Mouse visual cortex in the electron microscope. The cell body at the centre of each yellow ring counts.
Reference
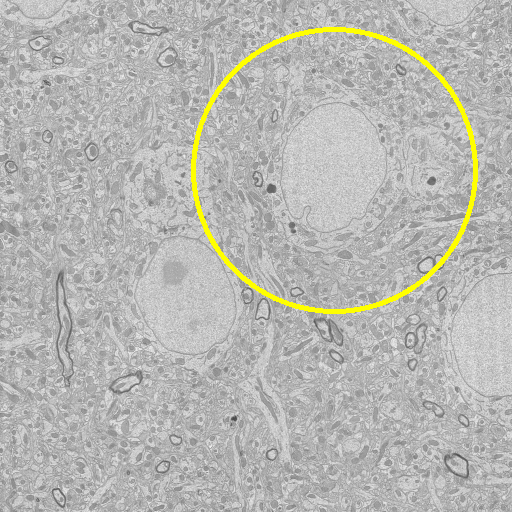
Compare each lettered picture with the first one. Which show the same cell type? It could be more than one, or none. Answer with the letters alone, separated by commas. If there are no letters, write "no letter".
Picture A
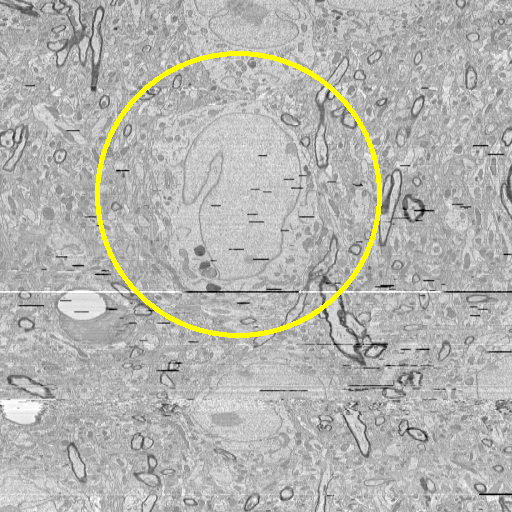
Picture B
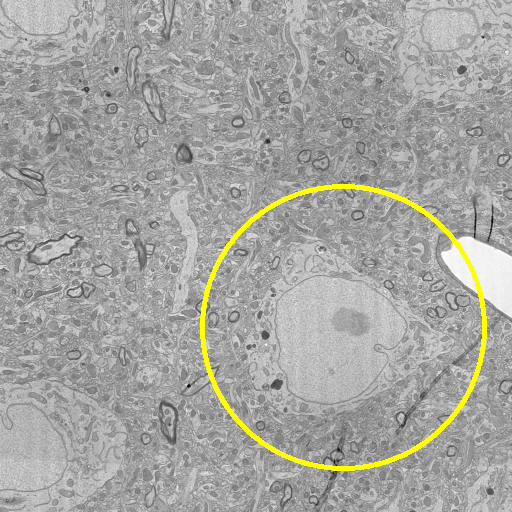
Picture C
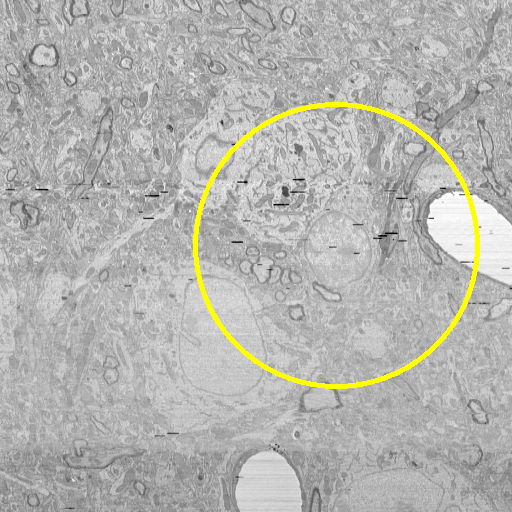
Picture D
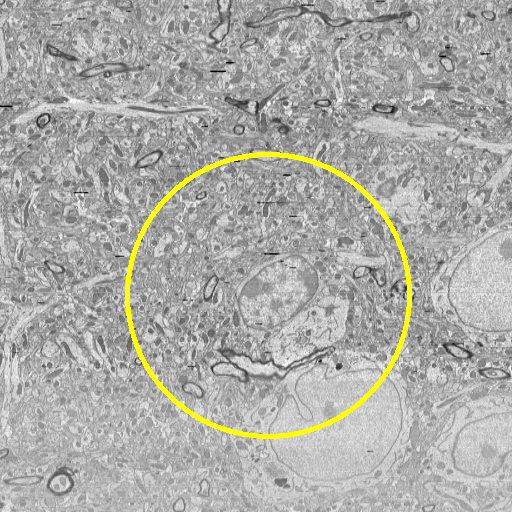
A, B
